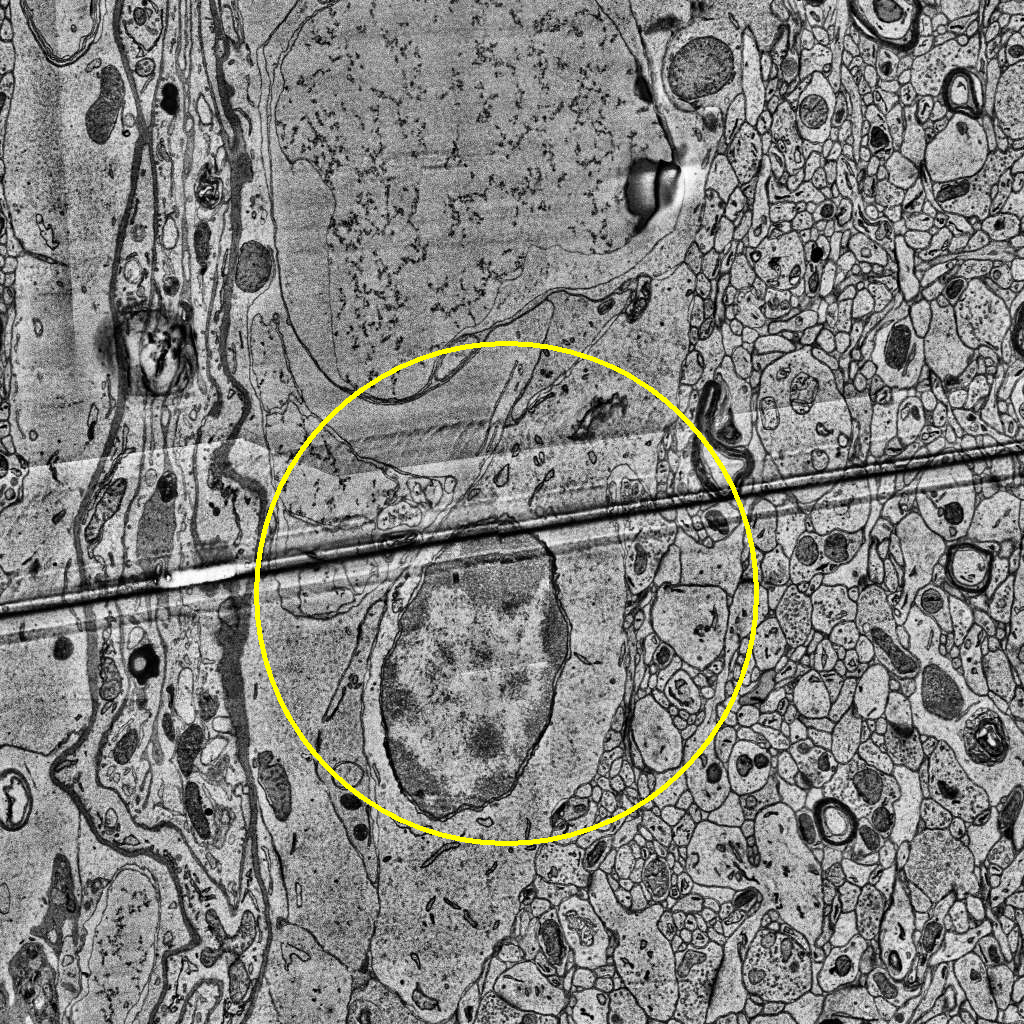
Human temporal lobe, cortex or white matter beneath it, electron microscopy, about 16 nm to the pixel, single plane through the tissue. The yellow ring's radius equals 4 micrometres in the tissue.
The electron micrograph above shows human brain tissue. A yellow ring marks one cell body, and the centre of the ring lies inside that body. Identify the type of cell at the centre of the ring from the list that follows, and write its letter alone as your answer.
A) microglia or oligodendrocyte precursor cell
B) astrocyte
A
